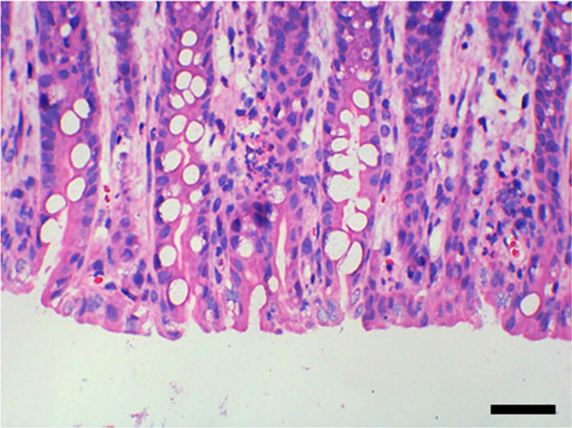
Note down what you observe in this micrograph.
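This is colon lining in which the glands are cut lengthwise and run side by side up to the surface. The epithelium looks crowded, with many purple nuclei piled close together and the cells less orderly than in a calm lining. Goblet cells, seen as round clear spaces, are still present but irregular in size and distribution. Between the glands, small bright red blood cells and clusters of small dark nuclei can be seen in the connective tissue. The surface edge at the bottom is uneven and ragged where it meets the lumen.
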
